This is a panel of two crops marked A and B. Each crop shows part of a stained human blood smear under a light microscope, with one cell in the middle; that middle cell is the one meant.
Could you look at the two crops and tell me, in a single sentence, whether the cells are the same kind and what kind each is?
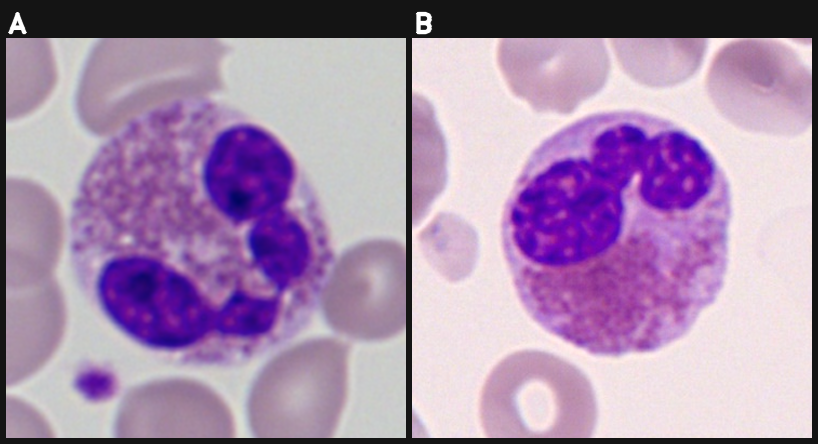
Yes, both the first crop and the second crop show eosinophils.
